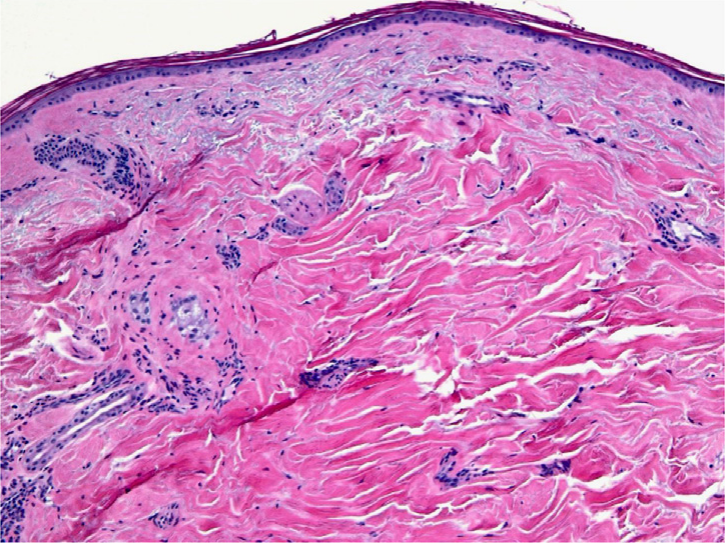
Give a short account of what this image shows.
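Skin with a thinned epidermis and a fibrotic dermis. The epidermis is a thin band of a few layers of keratinocytes with purple nuclei. It is covered by a thin, wavy pink layer of keratin. The junction with the dermis is flat and lacks rete ridges. Beneath it lies a pale, loosely textured upper dermis. Deeper down, the dermis is packed with thick, pink collagen bundles that run roughly parallel. Small clusters of blue-nucleated cells sit around scattered small vessels and small adnexal structures.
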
